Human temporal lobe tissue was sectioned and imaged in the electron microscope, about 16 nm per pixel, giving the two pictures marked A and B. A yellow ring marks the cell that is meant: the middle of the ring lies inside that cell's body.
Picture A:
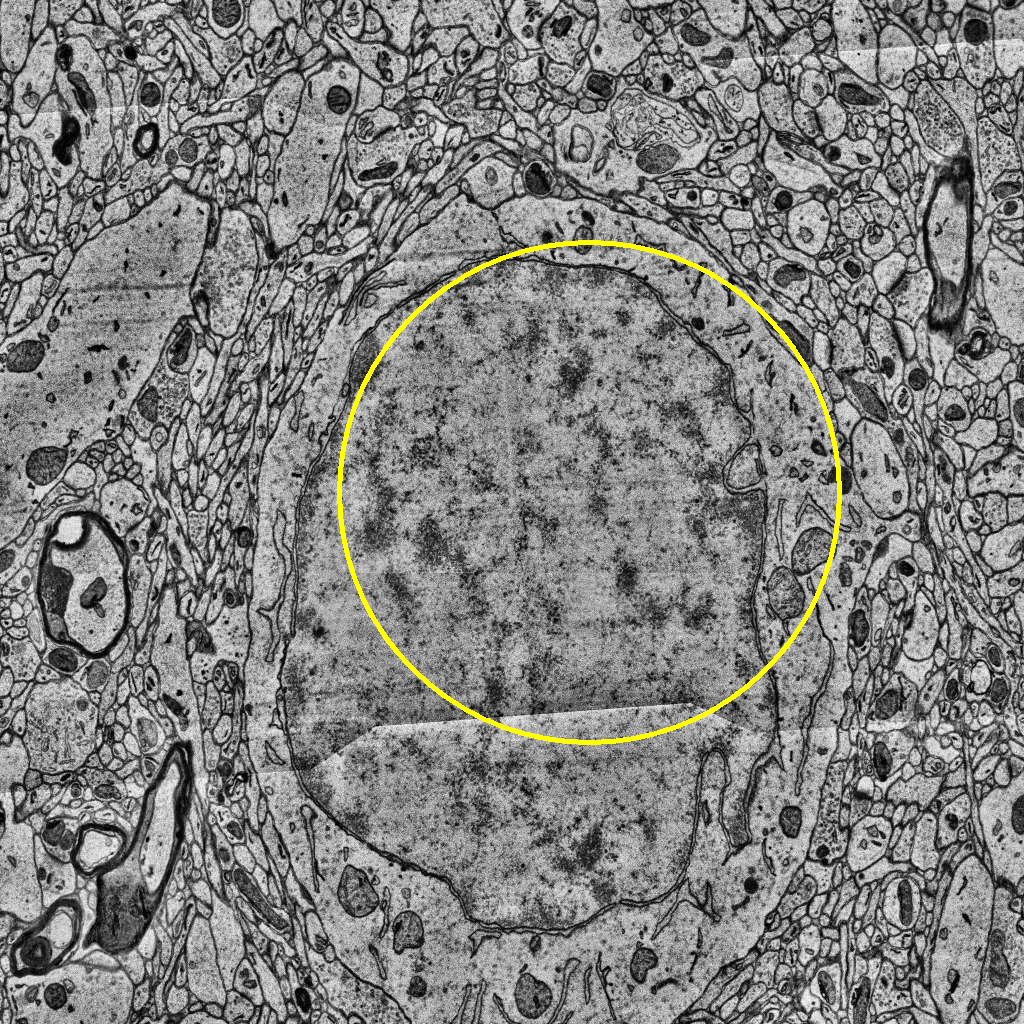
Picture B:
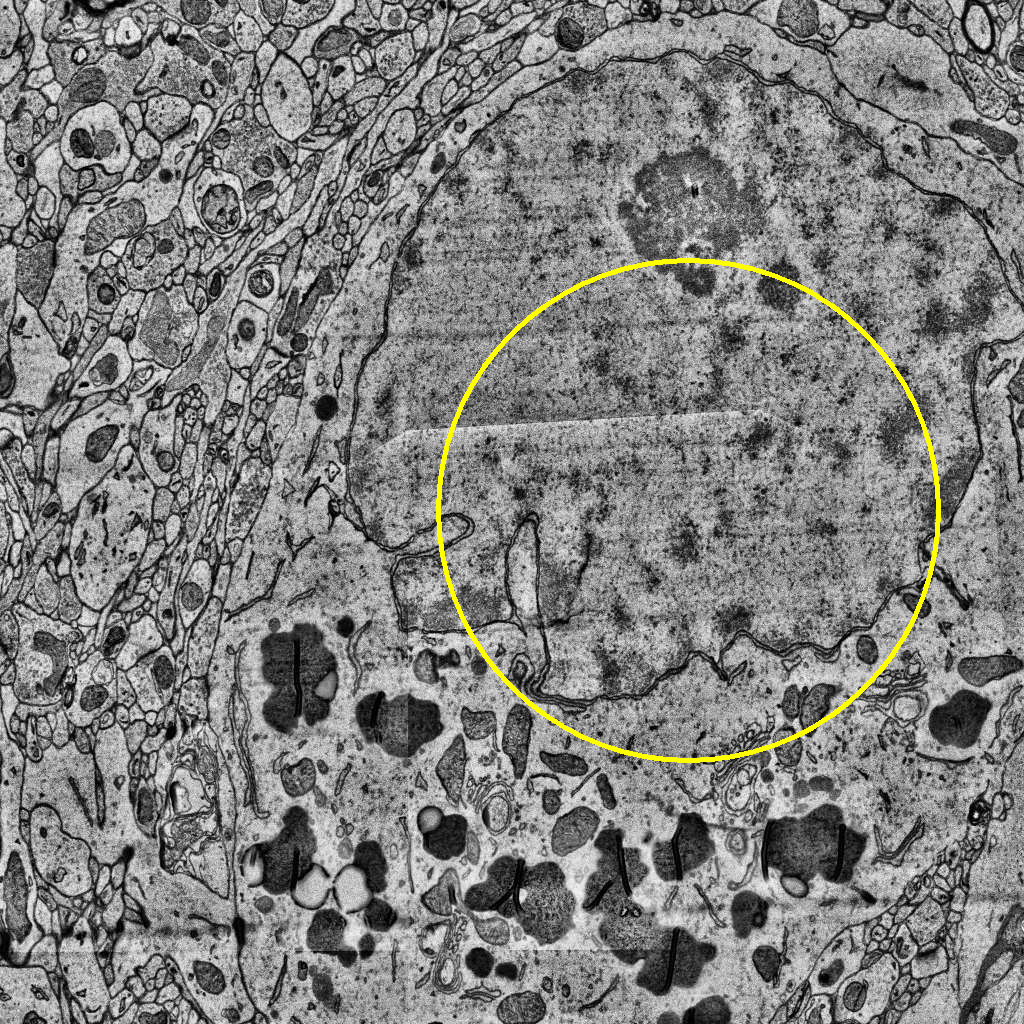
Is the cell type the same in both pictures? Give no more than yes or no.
yes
